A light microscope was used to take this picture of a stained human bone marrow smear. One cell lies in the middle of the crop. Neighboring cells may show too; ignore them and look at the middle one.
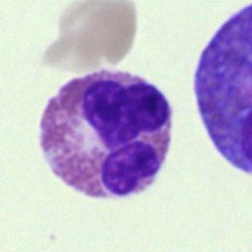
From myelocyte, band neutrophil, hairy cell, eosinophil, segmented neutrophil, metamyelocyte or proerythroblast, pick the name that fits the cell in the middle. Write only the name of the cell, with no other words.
eosinophil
